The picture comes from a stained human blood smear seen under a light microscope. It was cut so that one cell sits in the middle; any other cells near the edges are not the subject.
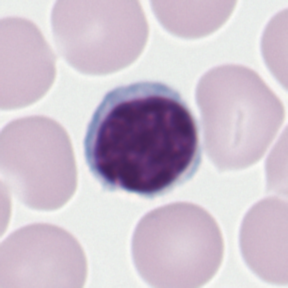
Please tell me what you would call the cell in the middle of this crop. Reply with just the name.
lymphocyte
